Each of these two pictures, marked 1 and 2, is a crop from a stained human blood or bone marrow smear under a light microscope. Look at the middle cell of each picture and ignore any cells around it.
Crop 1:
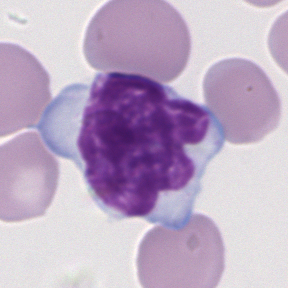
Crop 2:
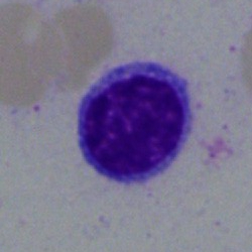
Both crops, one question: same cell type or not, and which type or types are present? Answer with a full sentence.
No, a lymphocyte is the cell of crop 2, while a blast is the cell of crop 1.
